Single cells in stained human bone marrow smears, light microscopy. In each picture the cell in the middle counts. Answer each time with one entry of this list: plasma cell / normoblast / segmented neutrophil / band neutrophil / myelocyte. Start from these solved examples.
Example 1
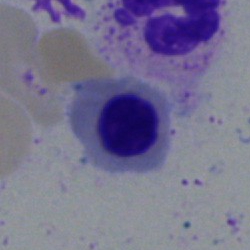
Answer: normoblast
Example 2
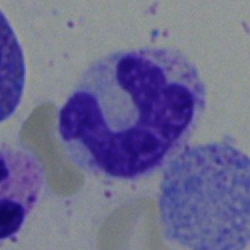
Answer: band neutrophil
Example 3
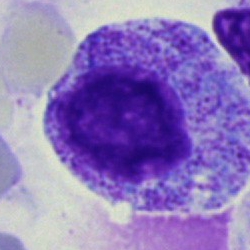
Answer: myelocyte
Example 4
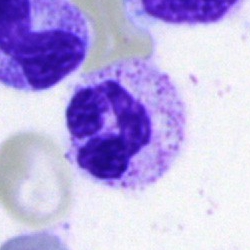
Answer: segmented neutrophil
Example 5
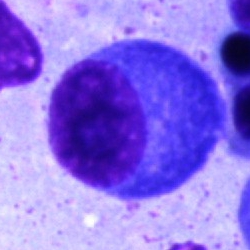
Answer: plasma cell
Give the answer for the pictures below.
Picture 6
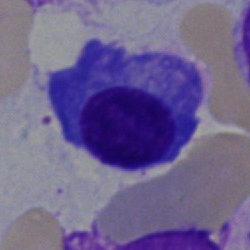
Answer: plasma cell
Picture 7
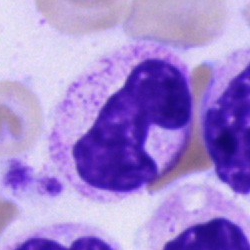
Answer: band neutrophil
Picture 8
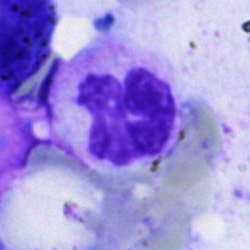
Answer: segmented neutrophil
